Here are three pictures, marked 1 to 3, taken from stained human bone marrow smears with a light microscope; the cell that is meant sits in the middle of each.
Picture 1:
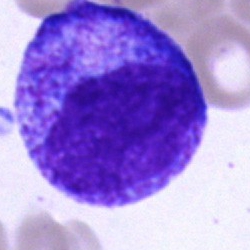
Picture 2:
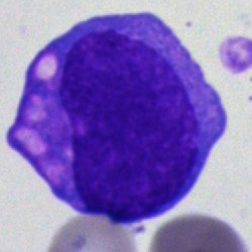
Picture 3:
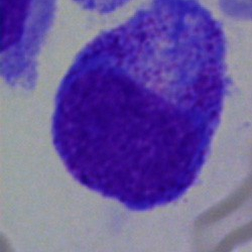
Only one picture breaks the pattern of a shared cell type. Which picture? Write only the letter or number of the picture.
2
